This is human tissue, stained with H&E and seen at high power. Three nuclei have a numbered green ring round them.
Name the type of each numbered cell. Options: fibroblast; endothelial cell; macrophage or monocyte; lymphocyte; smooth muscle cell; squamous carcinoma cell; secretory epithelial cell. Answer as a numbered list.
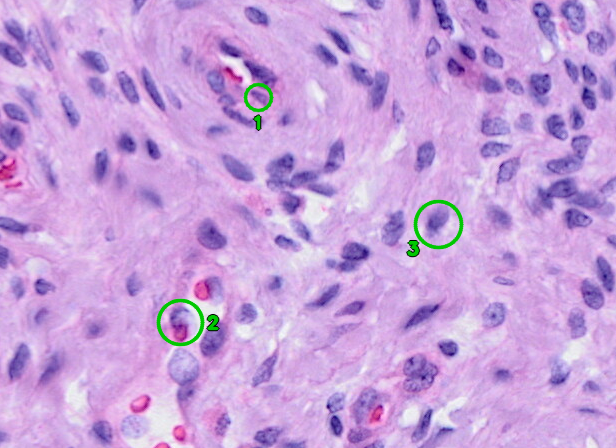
1. endothelial cell
2. endothelial cell
3. fibroblast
